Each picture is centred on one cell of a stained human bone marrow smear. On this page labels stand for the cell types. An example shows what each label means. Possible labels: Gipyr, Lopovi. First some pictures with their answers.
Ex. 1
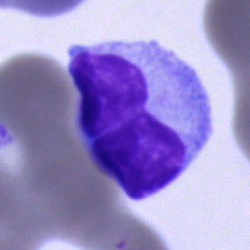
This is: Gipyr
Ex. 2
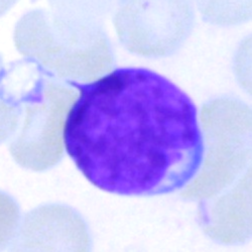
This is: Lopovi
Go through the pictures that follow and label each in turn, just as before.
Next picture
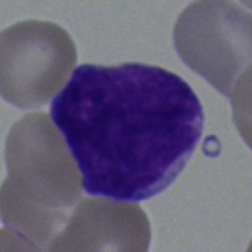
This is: Lopovi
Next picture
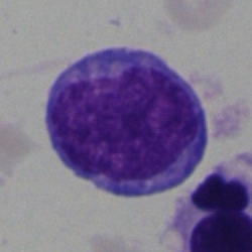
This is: Lopovi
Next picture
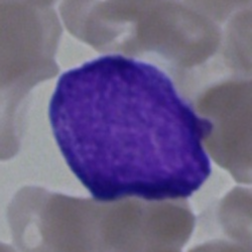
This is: Lopovi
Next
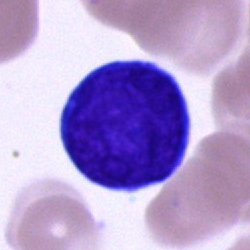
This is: Lopovi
